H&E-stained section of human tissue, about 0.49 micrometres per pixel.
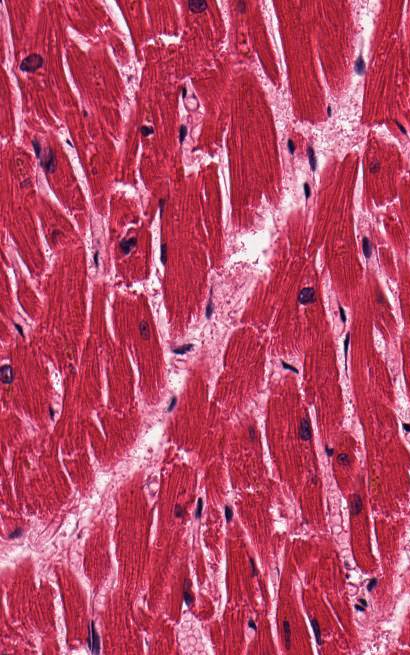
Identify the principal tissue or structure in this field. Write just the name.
myocardium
